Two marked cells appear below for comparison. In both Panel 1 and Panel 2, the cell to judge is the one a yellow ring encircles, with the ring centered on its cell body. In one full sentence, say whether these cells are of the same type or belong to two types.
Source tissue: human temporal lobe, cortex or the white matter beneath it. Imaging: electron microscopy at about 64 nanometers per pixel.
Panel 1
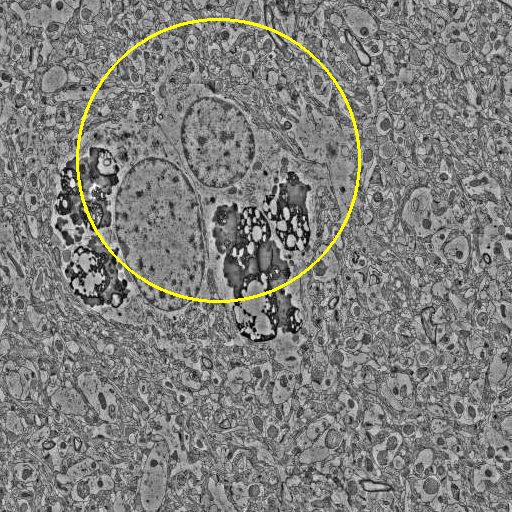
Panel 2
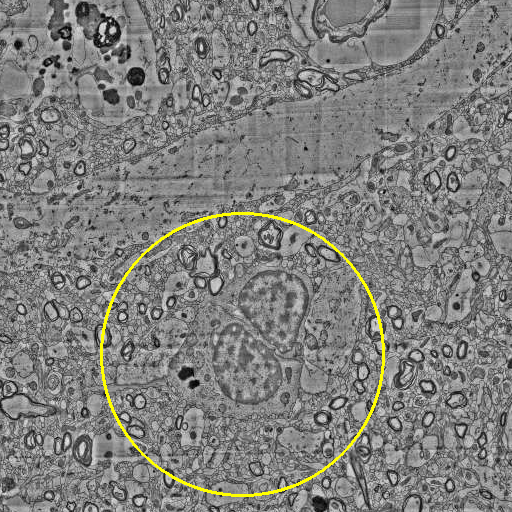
The cell centered in the Panel 1 ring and the one in Panel 2 belong to two types.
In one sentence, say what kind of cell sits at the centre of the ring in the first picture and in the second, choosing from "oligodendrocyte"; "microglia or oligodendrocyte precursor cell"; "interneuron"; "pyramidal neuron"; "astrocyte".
The first picture's ringed cell is an astrocyte, while the second picture's is an oligodendrocyte.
